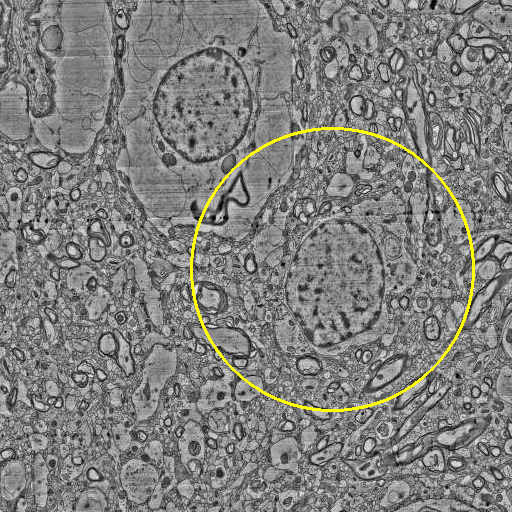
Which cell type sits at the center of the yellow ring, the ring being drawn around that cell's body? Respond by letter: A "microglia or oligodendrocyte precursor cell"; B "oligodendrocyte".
A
